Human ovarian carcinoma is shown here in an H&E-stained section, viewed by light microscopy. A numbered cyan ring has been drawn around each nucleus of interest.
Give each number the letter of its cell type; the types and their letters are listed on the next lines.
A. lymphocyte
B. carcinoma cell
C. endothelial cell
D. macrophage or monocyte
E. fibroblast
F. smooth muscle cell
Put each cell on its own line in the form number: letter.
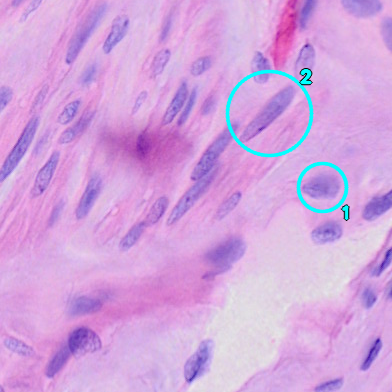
1: E
2: F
